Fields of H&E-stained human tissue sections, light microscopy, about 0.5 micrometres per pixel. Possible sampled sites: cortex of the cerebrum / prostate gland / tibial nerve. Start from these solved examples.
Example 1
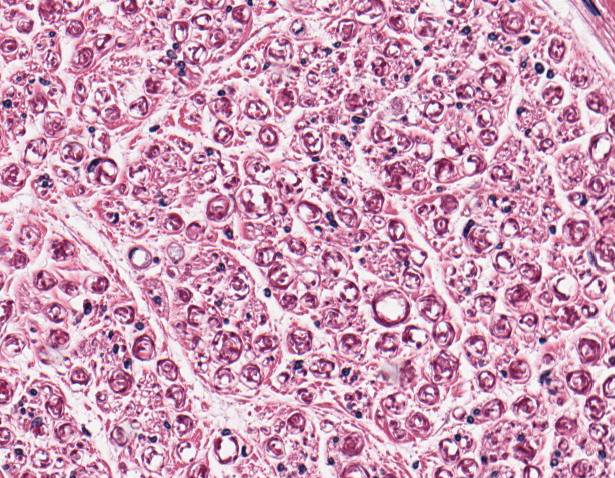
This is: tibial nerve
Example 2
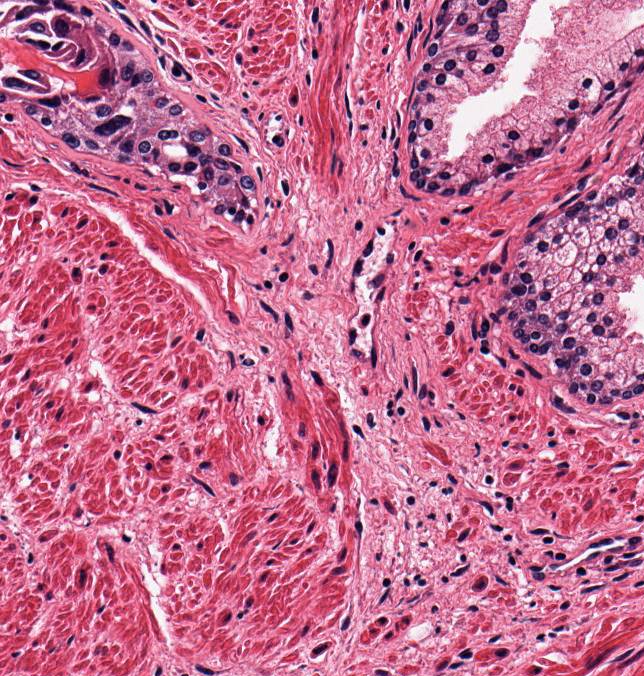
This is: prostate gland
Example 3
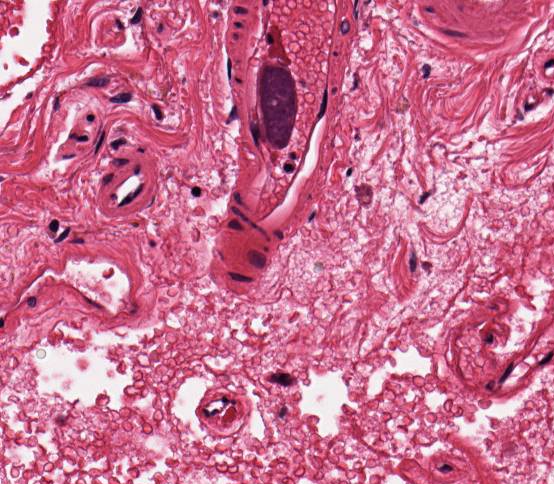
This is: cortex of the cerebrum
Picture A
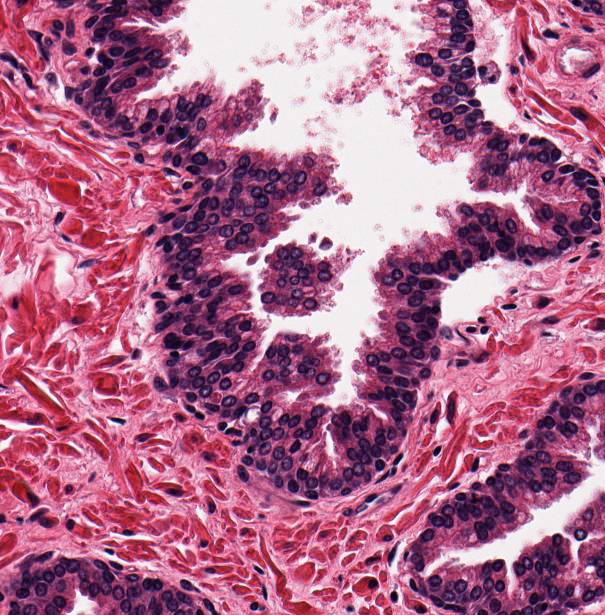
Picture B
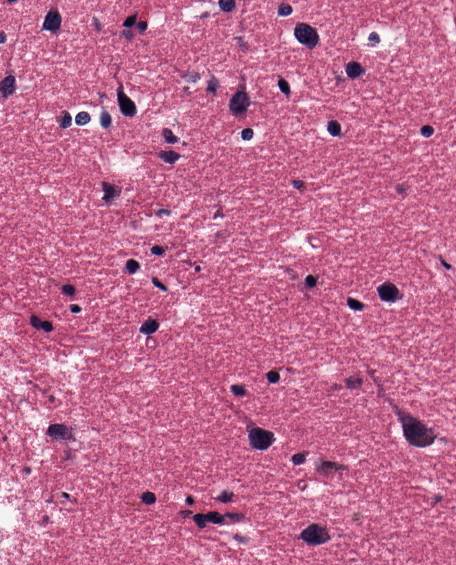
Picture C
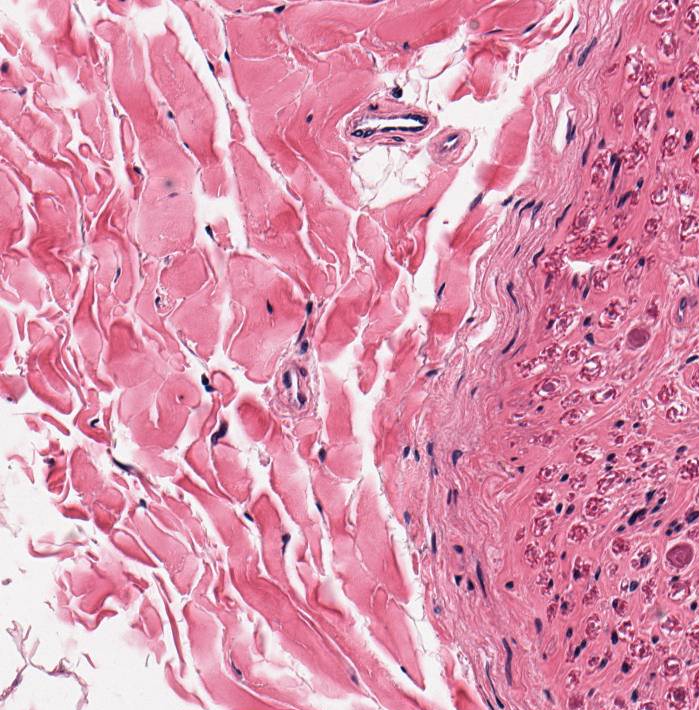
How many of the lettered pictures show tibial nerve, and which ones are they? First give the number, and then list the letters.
Count: 1 (C)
